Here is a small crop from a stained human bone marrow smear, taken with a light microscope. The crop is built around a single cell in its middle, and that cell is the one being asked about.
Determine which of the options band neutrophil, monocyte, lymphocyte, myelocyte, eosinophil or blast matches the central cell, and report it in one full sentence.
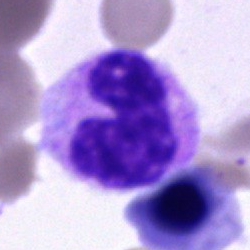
Positioned in the middle of the crop is a band neutrophil.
